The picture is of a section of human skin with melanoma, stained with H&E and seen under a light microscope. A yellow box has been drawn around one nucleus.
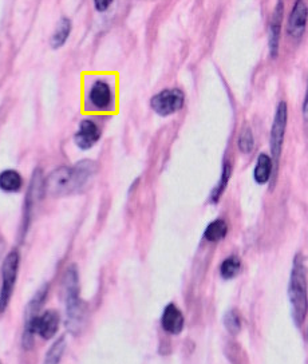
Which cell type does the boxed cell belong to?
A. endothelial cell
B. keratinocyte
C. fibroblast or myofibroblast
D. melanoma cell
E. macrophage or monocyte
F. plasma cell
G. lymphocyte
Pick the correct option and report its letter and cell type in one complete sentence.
Given that the boxed cell is a plasma cell, option F is the correct one.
